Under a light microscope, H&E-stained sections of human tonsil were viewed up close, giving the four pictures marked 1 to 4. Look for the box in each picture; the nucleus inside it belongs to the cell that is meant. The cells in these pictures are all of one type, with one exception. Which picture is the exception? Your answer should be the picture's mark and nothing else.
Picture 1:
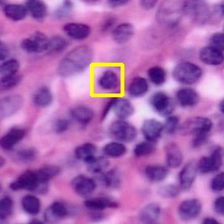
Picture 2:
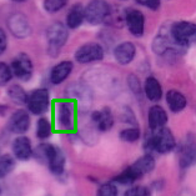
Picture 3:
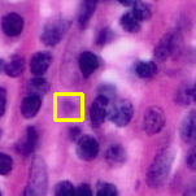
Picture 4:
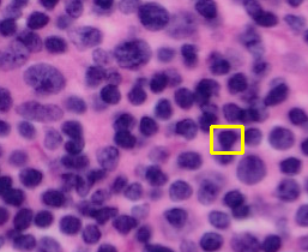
4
